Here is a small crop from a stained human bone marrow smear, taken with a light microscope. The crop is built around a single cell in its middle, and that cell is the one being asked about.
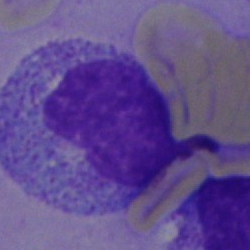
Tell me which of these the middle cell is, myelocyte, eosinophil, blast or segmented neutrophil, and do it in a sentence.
Here the cell in the middle is a myelocyte.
